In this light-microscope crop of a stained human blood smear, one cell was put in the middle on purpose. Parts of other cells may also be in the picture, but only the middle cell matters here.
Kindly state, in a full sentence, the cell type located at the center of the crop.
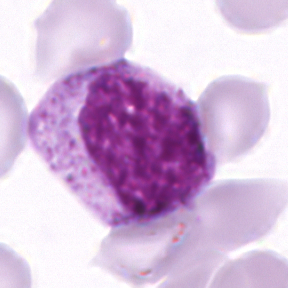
The central cell shown in this smear crop is a myelocyte.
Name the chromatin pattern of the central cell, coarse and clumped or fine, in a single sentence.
If you check the nucleus, you will find the chromatin coarsely clumped.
